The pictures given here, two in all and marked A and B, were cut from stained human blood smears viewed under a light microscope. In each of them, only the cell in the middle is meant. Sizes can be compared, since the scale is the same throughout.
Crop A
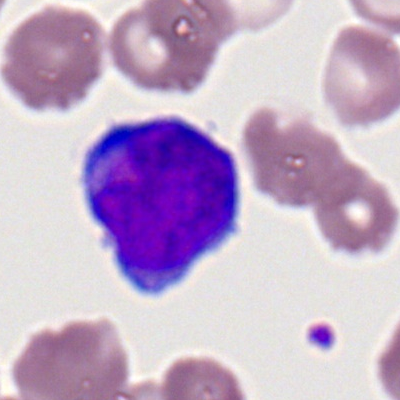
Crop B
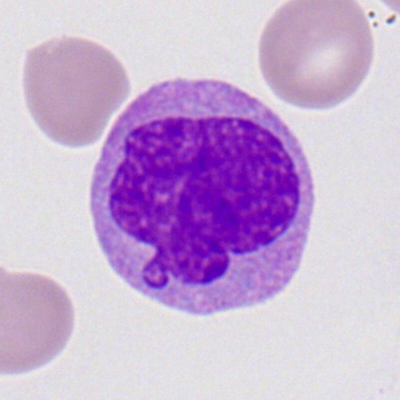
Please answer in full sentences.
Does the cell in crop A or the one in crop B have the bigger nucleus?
Crop B shows the larger nucleus; it covers about 1.5 times the area of the nucleus in crop A.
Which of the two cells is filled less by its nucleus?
It is the cell in crop B that is filled less by its nucleus.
